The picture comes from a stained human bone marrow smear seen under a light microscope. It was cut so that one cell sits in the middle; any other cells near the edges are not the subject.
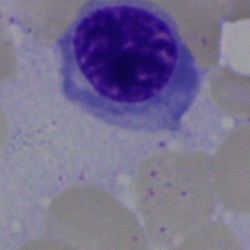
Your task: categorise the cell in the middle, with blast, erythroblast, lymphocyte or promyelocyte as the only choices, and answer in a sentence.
Framed in the middle of the crop is an erythroblast.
